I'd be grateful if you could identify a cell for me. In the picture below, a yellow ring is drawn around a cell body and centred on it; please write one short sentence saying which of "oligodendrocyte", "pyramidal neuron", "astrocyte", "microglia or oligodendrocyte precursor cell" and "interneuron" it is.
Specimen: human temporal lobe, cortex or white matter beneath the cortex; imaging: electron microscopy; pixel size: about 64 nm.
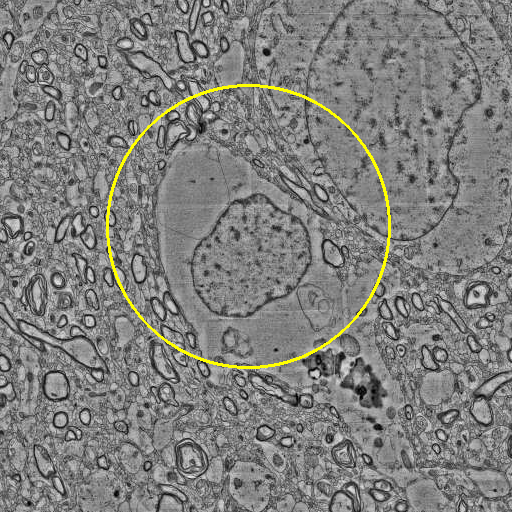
The cell under the ring's centre is an astrocyte.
